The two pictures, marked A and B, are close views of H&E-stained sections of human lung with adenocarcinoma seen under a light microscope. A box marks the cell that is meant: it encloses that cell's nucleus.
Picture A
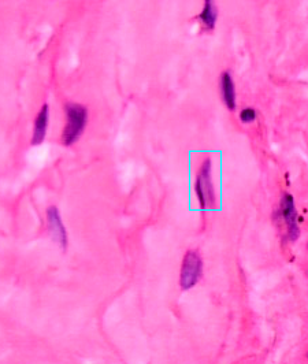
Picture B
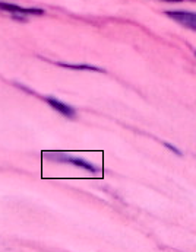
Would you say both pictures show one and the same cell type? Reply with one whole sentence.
Yes; the cells in both pictures are fibroblasts.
